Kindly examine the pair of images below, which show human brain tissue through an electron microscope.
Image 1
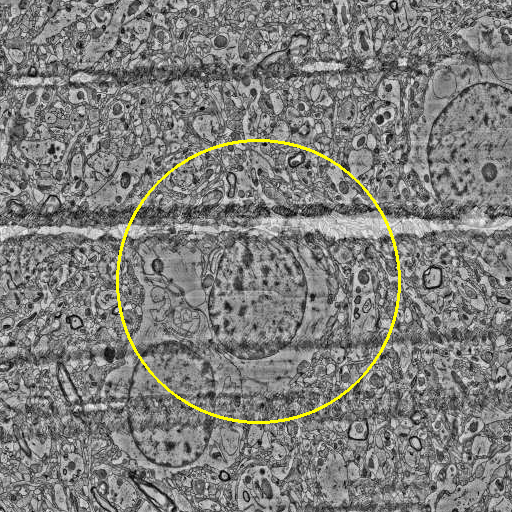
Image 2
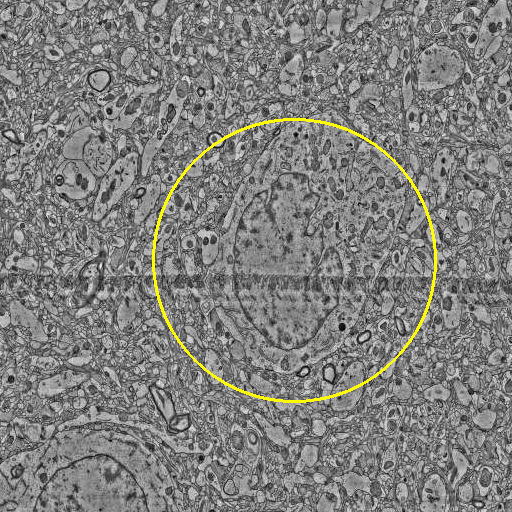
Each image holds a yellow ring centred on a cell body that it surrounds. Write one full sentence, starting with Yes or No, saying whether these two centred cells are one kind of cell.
No, the cells at the centres of the yellow rings belong to two kinds of cell.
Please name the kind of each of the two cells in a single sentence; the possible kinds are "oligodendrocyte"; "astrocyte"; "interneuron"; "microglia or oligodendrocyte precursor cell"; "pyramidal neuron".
In the first picture the ring is centred on an astrocyte, and in the second on an interneuron.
